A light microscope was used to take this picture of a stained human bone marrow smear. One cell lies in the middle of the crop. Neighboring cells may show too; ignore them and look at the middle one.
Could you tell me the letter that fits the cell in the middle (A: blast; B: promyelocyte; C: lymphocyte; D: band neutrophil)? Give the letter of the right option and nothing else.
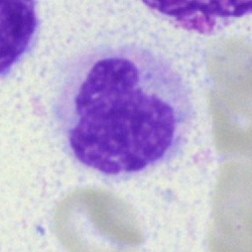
D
